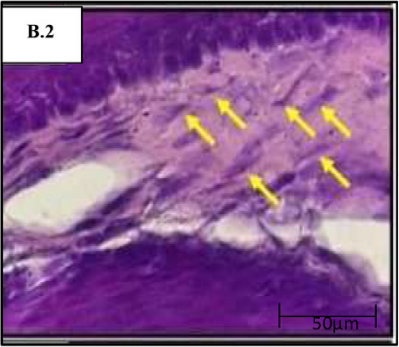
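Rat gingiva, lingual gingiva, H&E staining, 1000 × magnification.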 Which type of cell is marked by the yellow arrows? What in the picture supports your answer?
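The arrows point to spindle-shaped nuclei in a band of fibrous tissue. The band lies between dark purple cell-rich layers. That points to this answer: fibroblast cells.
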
